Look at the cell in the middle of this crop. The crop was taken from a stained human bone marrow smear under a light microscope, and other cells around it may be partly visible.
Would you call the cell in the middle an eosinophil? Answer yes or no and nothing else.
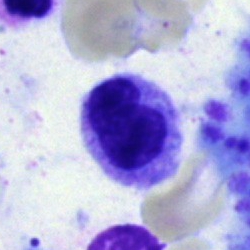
no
